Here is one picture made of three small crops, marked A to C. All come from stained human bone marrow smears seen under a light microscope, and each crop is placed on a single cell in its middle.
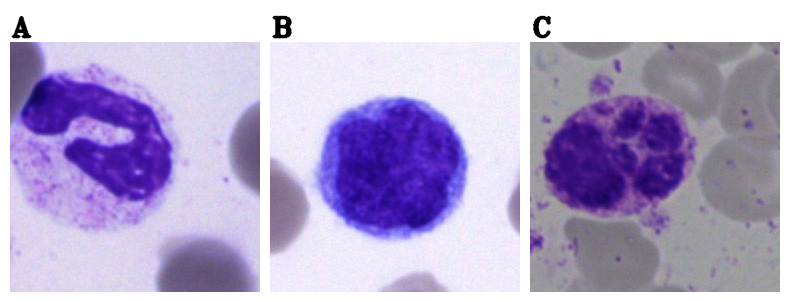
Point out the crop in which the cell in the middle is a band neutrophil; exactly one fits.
A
